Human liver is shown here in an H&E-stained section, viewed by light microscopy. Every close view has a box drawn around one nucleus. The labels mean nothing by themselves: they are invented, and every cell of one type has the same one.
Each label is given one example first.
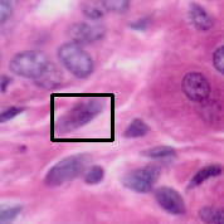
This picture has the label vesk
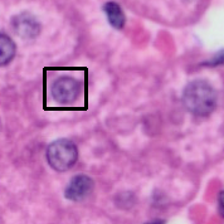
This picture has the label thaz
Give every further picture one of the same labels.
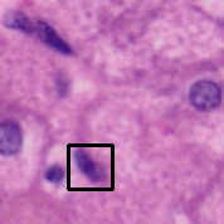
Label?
vesk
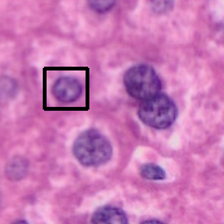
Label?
thaz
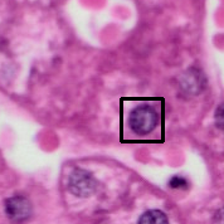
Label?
thaz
